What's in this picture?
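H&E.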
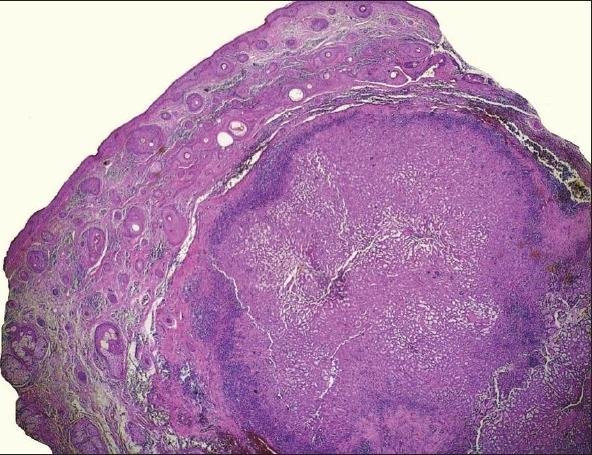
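This is skin with a large, rounded, well-circumscribed tumor nodule lying in the dermis beneath a stratified epithelial surface. The dermis above it holds many round follicle and adnexal profiles. The nodule's edge is rimmed by a dense dark blue band of small crowded nuclei, a heavy lymphocytic infiltrate, while its centre is paler pink with a loose, reticulated texture and fine clefts.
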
